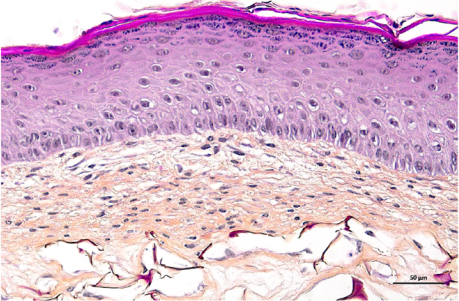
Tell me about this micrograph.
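This is a reconstructed skin with a well-layered epidermis sitting on a dermis-like compartment. The keratinocytes form many layers: a row of darker, tightly packed basal cells at the bottom, then larger polygonal cells with round nuclei and pale pink cytoplasm, flattening toward the surface under a compact magenta cornified layer. Below, the orange-yellow fibrous matrix holds scattered elongated fibroblast nuclei, and deeper still it opens into a porous sponge-like mesh with large clear spaces.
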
